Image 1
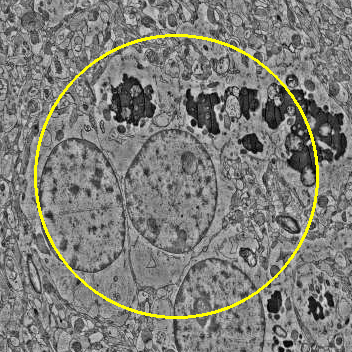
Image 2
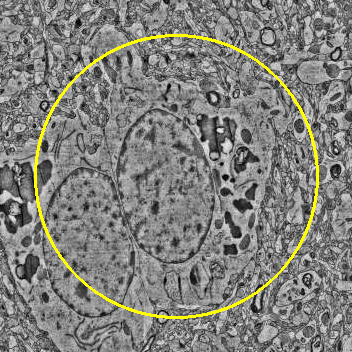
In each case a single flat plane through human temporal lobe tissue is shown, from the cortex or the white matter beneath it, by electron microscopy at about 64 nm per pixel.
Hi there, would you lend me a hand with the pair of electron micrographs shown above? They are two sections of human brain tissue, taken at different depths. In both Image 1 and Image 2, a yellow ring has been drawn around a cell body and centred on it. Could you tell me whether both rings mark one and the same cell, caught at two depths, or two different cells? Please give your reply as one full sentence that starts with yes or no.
No, two cells, not one, are marked by the yellow rings.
